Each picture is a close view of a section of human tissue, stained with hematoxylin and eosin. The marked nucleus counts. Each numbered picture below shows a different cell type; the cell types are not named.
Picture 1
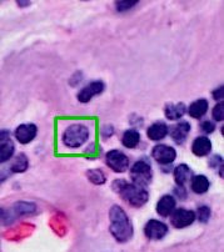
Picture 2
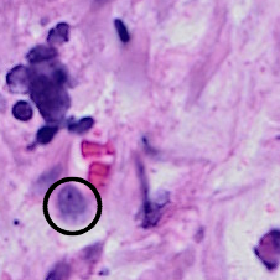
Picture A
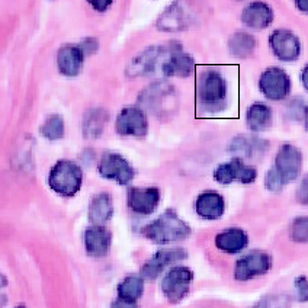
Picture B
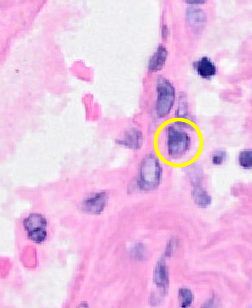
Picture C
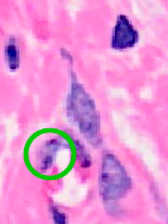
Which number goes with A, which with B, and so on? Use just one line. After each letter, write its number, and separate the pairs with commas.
A 1, B 2, C 2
